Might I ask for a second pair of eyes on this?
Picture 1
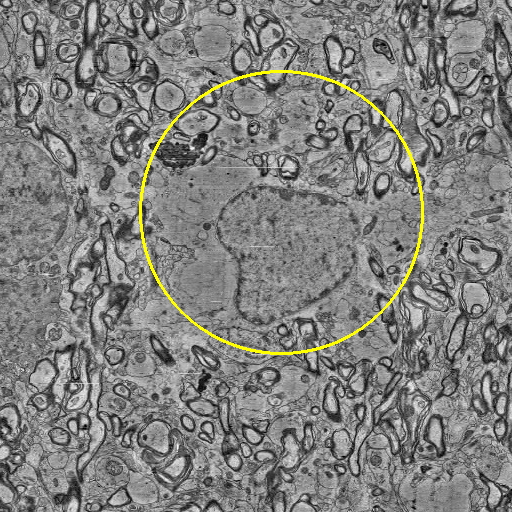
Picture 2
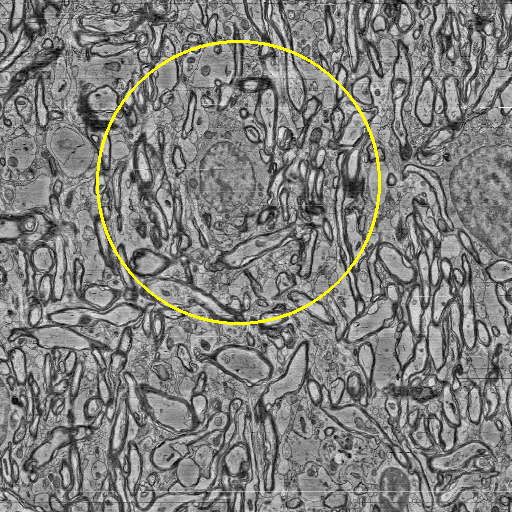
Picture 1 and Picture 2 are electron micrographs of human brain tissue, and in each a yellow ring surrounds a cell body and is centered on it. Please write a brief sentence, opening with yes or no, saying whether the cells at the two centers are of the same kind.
No, the cells are of two kinds.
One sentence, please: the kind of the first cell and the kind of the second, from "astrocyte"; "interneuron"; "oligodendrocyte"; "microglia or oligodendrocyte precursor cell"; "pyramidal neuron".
The ring in the first picture surrounds an astrocyte, and the ring in the second surrounds an oligodendrocyte.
